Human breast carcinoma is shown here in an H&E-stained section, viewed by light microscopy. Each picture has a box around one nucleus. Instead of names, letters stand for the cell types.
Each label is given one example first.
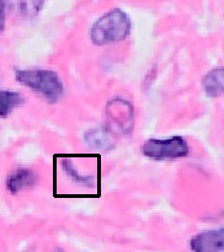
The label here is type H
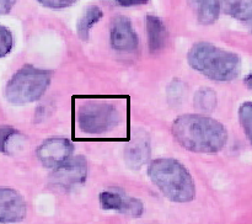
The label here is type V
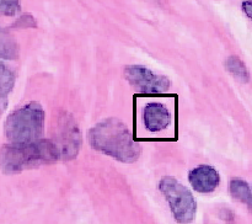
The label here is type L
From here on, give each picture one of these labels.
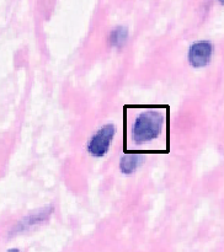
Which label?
type L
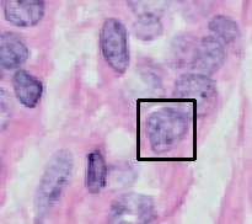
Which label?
type V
